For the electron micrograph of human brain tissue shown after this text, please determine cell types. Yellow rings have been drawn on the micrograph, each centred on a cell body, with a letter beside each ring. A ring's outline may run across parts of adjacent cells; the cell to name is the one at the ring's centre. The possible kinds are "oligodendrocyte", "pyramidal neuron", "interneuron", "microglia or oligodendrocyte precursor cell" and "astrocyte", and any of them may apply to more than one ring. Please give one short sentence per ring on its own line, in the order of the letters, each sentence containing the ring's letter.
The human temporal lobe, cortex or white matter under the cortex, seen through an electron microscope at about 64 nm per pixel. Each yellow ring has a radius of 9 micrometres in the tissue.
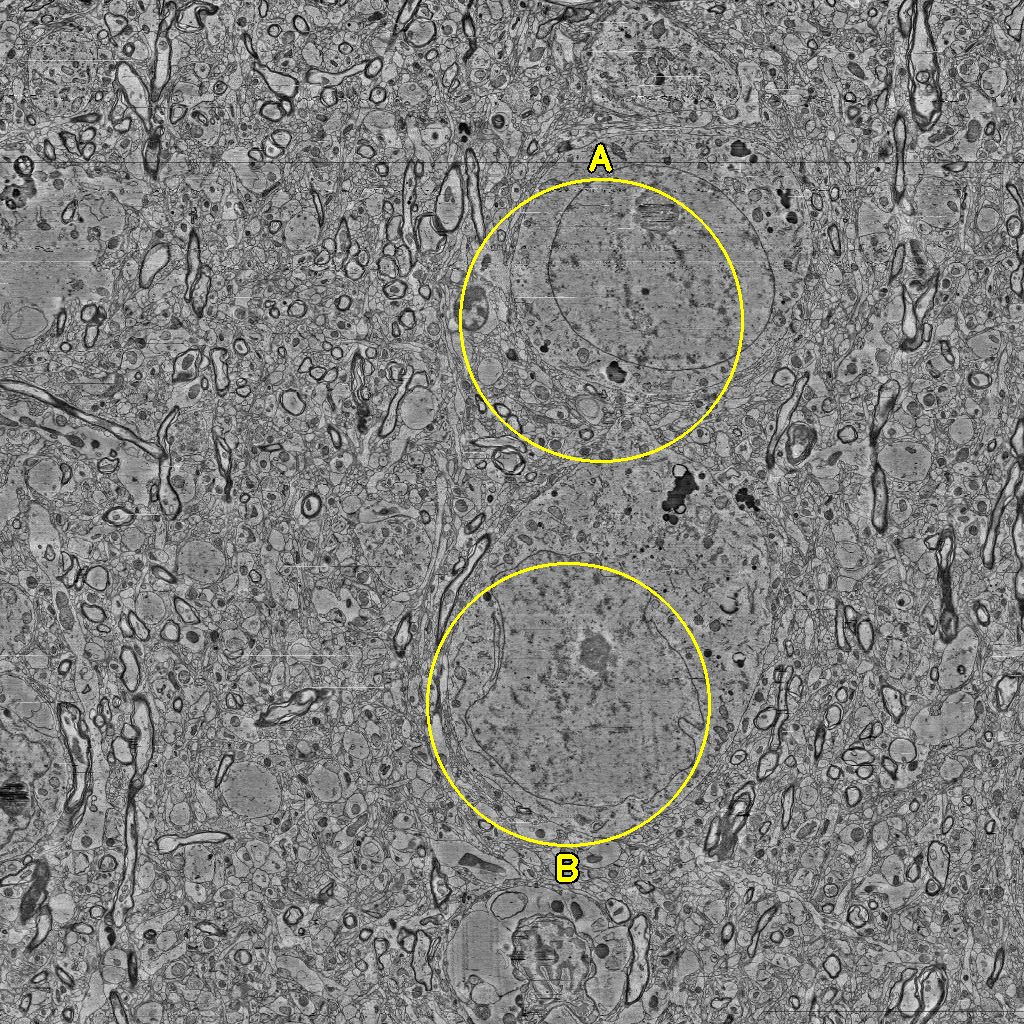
Ring A is set around a pyramidal neuron.
Ring B is set around a pyramidal neuron.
